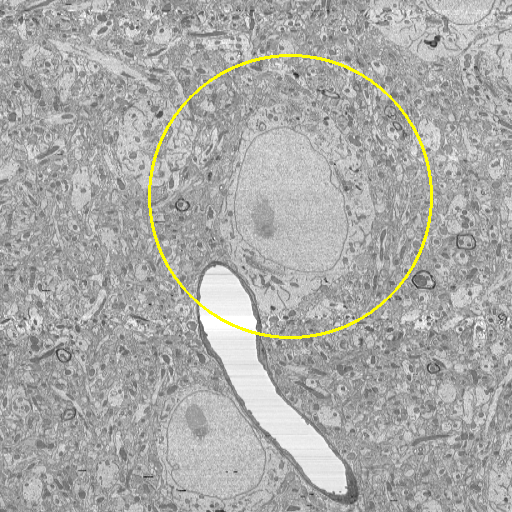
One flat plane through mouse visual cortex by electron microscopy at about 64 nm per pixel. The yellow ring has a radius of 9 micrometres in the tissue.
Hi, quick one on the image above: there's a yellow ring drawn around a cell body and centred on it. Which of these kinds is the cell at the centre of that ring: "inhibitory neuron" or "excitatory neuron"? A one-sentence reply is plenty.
The cell at the centre of the ring is an excitatory neuron.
